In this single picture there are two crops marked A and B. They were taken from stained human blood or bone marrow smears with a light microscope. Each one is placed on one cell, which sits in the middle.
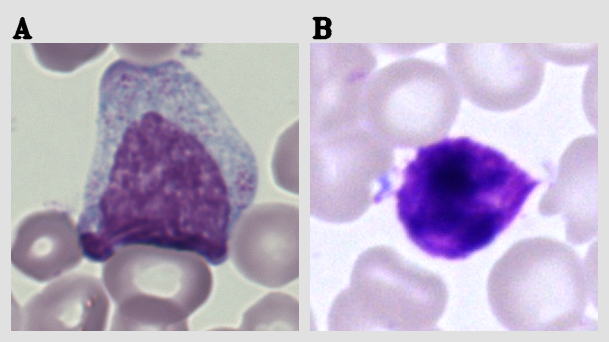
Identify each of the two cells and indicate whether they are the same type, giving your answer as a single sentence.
No, a basophil is the cell of crop B, while a promyelocyte is the cell of crop A.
